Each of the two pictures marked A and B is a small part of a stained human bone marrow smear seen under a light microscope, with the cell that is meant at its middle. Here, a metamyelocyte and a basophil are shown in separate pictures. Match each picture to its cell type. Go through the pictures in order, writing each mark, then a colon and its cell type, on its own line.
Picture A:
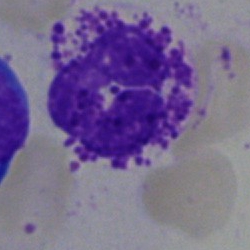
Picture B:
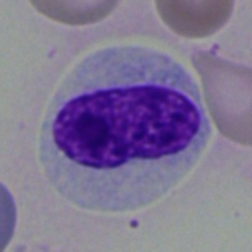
A: basophil
B: metamyelocyte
